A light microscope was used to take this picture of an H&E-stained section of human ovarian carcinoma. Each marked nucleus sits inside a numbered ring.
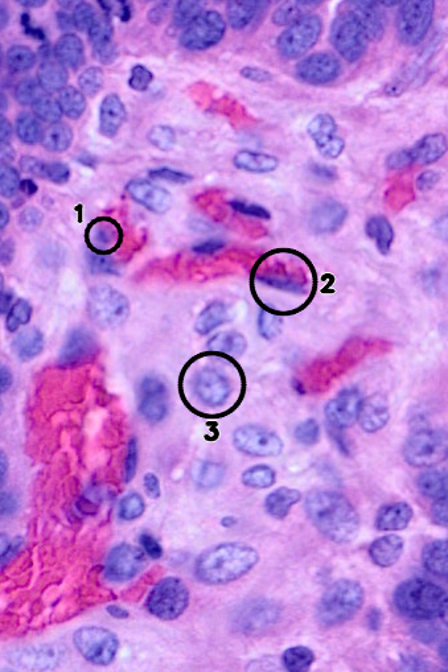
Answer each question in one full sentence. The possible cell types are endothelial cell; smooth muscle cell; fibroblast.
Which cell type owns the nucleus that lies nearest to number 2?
The cell nearest to number 2 is a fibroblast.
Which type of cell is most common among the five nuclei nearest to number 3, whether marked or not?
The majority of the five nuclei closest to number 3 belong to fibroblasts.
